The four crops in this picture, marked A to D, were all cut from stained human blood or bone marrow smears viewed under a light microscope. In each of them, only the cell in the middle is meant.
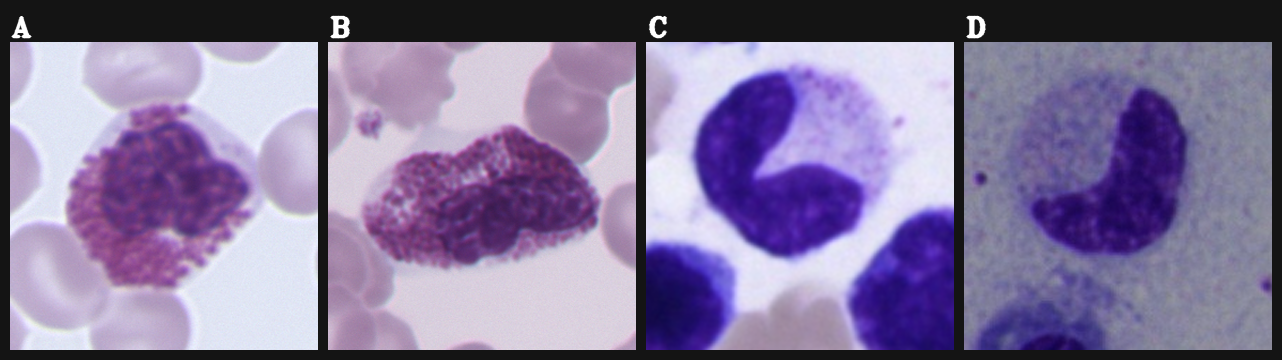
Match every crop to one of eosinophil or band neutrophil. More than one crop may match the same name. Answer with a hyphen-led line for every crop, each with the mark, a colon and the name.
- A: eosinophil
- B: eosinophil
- C: band neutrophil
- D: band neutrophil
